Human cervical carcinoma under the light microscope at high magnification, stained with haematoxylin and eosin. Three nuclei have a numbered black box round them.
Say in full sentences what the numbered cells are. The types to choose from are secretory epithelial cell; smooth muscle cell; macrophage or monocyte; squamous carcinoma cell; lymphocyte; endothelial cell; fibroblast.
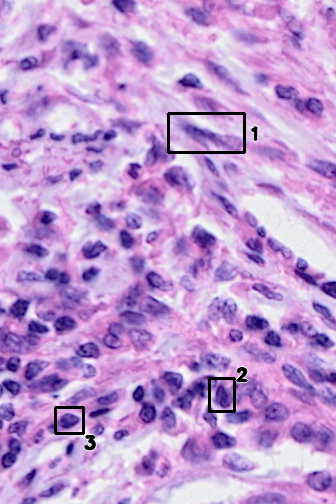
Cell 1 is a fibroblast, cell 2 is a lymphocyte and cell 3 is a lymphocyte.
